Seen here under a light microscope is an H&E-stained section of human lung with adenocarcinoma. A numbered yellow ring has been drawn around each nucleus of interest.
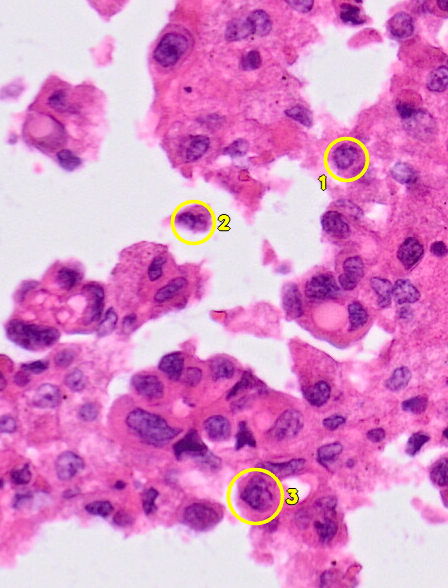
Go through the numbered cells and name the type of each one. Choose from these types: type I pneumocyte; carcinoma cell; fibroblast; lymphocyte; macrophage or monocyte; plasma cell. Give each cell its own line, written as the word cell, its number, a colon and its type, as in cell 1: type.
cell 1: macrophage or monocyte
cell 2: macrophage or monocyte
cell 3: carcinoma cell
